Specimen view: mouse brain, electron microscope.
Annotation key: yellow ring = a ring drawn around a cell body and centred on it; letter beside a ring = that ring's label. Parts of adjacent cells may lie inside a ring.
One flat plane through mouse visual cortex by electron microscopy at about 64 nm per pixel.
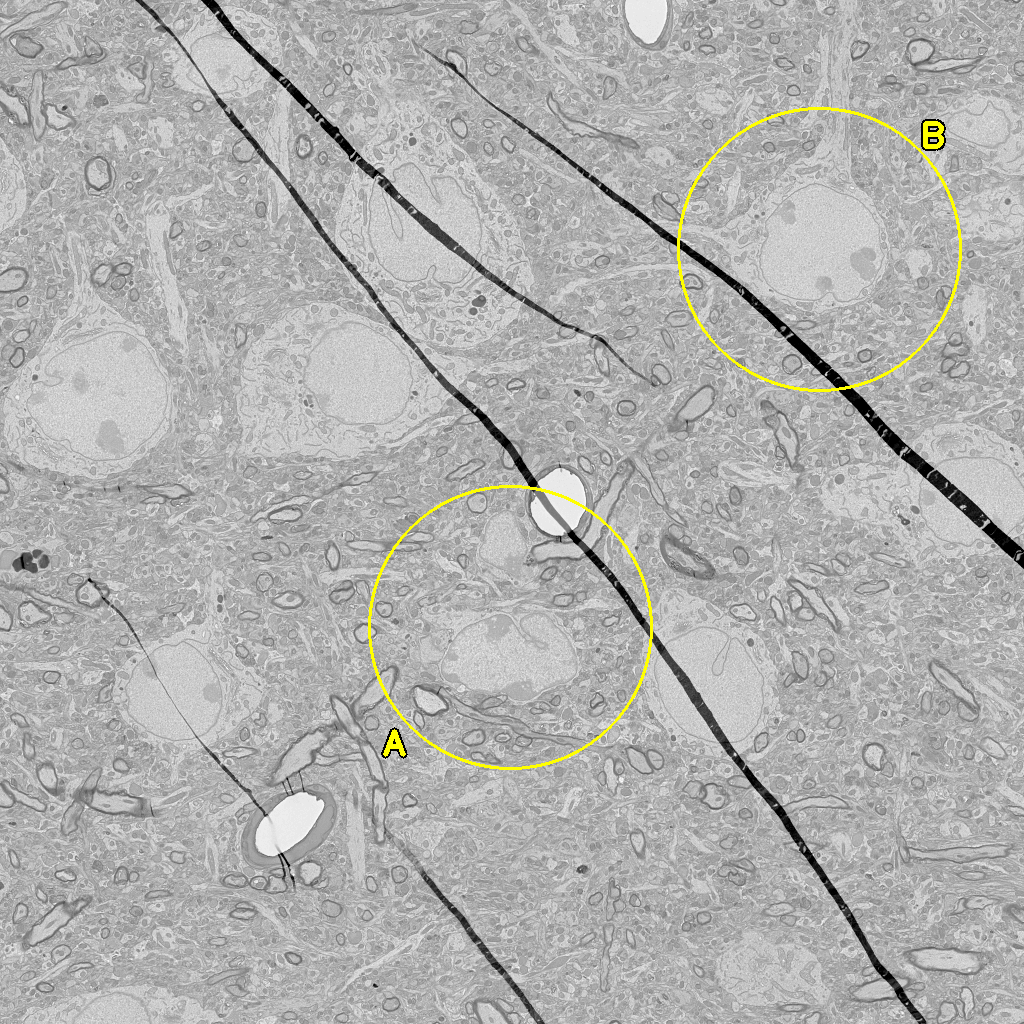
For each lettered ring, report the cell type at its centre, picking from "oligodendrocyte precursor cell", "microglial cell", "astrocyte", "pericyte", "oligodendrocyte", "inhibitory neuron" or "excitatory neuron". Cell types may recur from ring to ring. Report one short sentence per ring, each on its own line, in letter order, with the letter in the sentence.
The cell at the centre of ring A is an oligodendrocyte precursor cell.
The cell at the centre of ring B is an excitatory neuron.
